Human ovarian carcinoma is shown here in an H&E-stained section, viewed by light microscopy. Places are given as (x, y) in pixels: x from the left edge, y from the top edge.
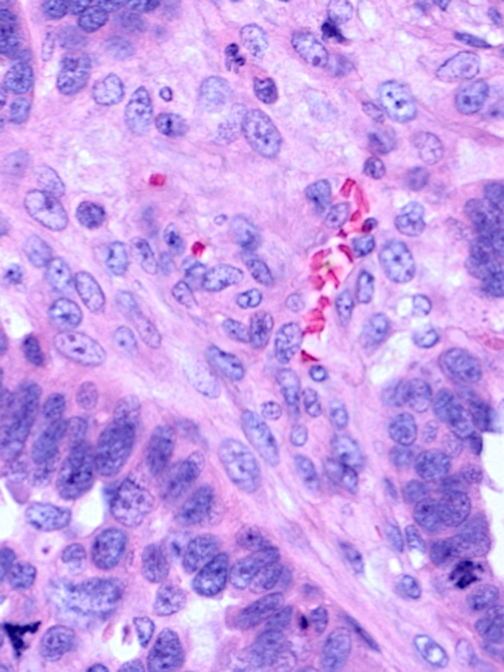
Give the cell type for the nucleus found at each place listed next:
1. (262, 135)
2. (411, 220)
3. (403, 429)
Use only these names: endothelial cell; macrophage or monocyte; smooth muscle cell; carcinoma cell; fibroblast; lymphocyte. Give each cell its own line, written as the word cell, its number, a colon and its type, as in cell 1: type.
cell 1: fibroblast
cell 2: fibroblast
cell 3: carcinoma cell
